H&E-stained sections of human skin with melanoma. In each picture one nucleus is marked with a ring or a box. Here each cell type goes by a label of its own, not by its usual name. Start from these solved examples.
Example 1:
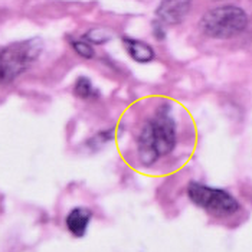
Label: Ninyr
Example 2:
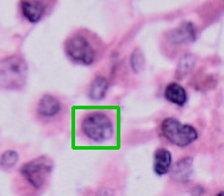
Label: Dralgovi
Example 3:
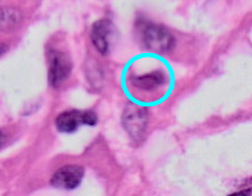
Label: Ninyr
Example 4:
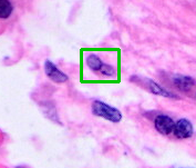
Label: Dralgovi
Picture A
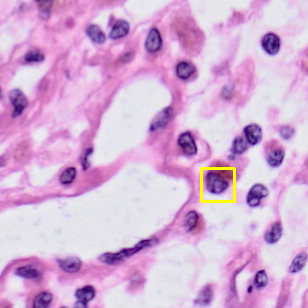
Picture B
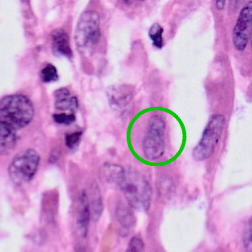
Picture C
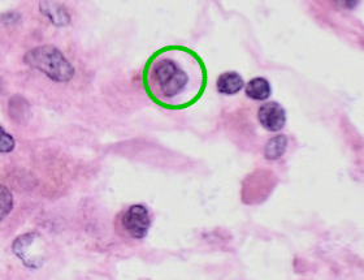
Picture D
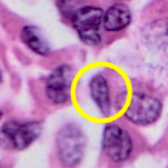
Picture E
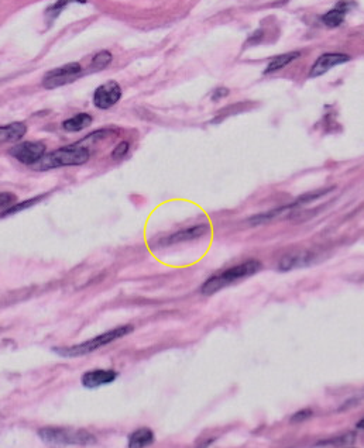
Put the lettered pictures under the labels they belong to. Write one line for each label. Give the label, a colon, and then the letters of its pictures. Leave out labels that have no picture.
Ninyr: B, D
Dralgovi: A, C, E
